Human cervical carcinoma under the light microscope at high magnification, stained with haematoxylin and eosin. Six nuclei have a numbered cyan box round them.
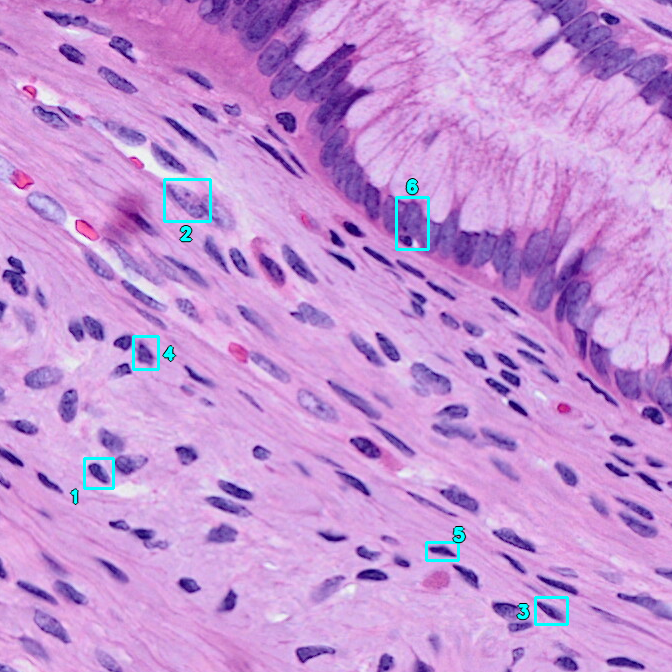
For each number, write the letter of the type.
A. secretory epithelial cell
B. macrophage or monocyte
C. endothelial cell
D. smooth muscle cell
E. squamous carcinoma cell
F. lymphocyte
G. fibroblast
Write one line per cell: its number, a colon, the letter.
1: G
2: C
3: G
4: G
5: G
6: A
